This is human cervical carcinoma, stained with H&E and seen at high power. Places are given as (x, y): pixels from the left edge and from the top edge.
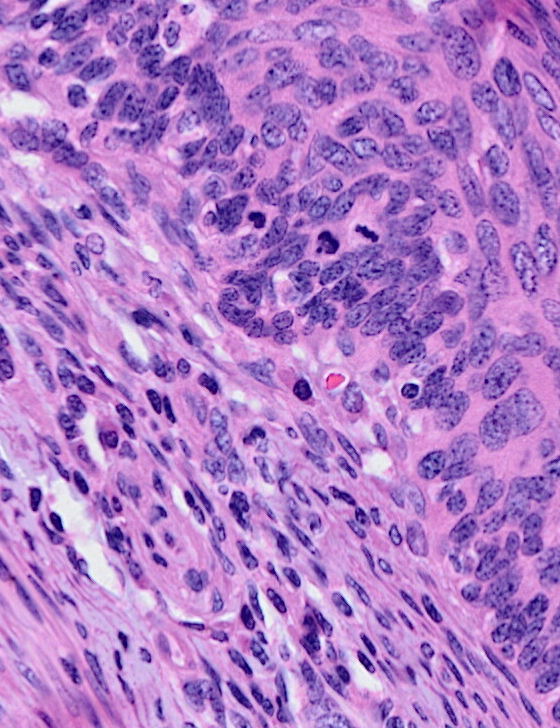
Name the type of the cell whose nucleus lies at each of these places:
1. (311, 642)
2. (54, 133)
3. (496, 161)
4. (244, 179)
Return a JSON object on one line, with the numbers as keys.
{"1": "lymphocyte", "2": "squamous carcinoma cell", "3": "squamous carcinoma cell", "4": "squamous carcinoma cell"}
